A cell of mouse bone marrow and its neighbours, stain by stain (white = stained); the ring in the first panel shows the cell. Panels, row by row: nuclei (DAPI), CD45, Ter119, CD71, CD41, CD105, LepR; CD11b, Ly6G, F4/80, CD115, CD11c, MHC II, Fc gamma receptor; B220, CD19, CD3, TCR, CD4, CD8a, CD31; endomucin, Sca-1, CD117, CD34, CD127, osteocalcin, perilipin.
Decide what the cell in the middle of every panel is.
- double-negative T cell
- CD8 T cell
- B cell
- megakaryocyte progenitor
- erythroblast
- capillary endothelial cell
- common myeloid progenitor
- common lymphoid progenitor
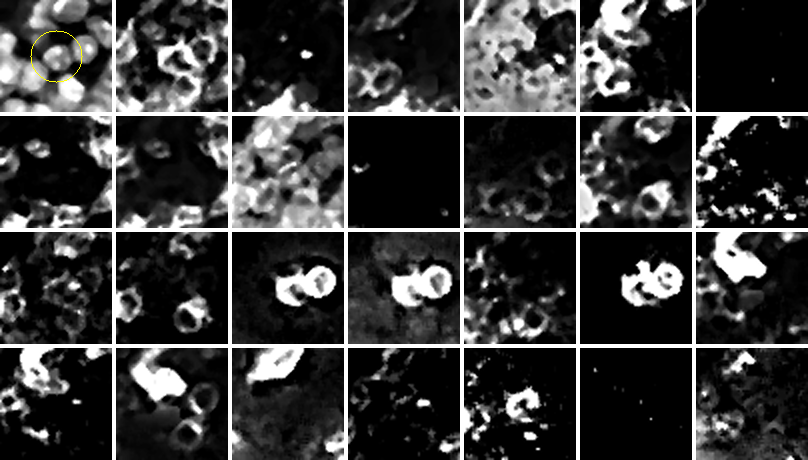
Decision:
CD8 T cell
